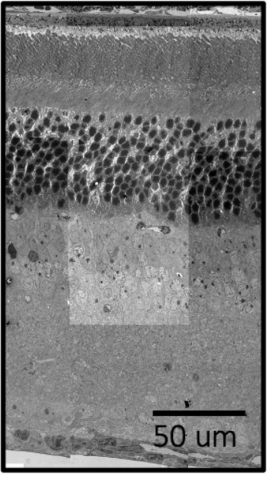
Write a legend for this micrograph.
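A cross section through the retina shows its stacked layers. At the top lies a thin band of outer tissue, beneath which runs a zone of slender, parallel, vertically oriented profiles forming the photoreceptor segments. Below these, a thick layer of tightly packed, dark, rounded nuclei forms the outer nuclear layer, several cells deep. Beneath it a thin fibrous band gives way to a paler layer containing more loosely scattered rounded cell bodies with visible nuclei.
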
